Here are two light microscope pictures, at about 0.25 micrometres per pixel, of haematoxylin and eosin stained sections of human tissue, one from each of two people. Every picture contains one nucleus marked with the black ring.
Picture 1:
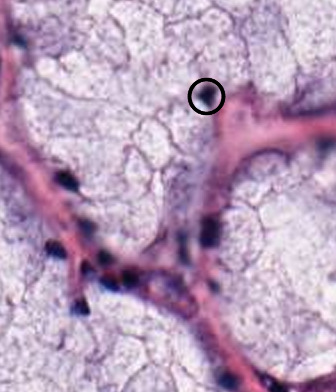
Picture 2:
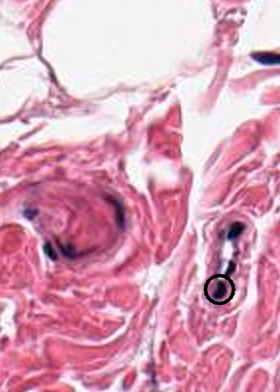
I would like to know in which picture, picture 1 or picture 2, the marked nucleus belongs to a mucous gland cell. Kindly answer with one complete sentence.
It is in picture 1 that the marked nucleus belongs to a mucous gland cell.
